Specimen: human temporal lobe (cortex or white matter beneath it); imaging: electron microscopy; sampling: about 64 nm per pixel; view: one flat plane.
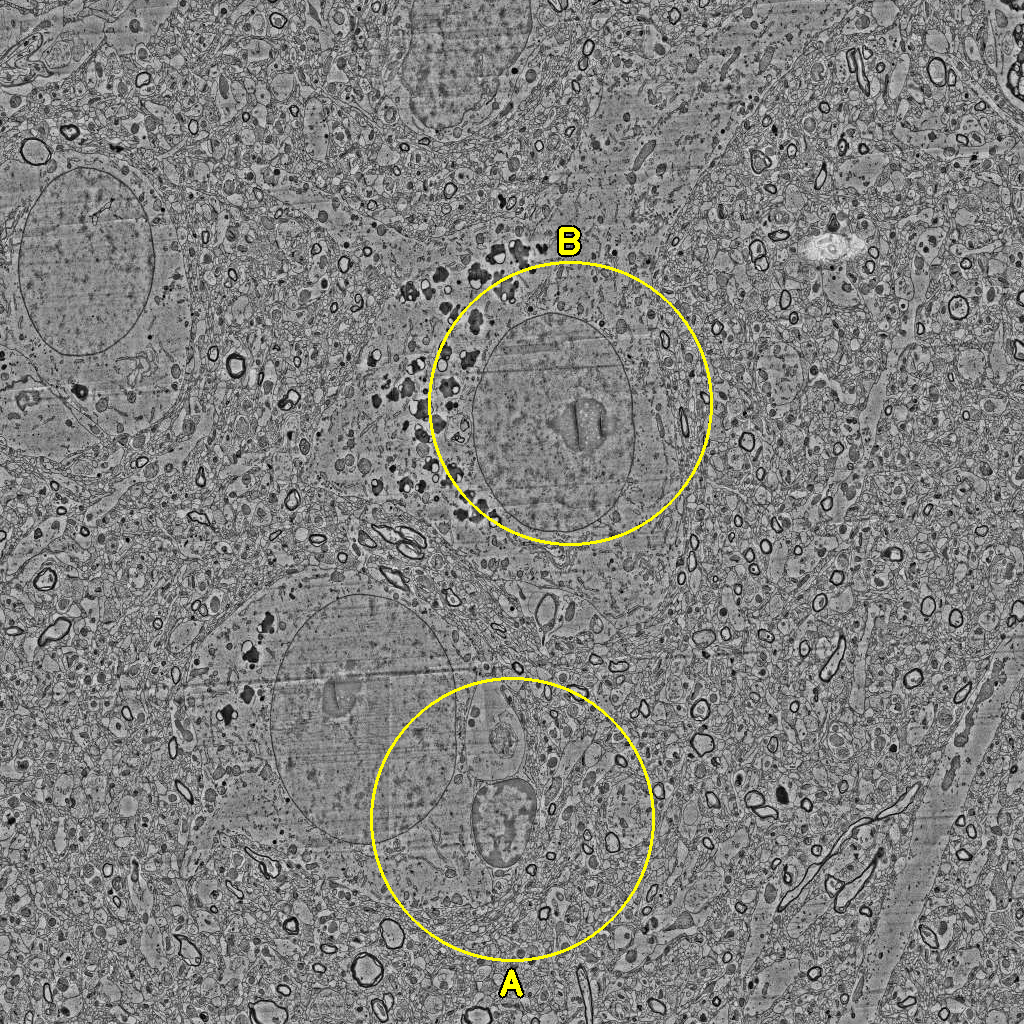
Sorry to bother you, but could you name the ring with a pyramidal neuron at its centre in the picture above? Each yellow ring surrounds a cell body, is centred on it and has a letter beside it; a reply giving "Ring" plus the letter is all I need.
Ring B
